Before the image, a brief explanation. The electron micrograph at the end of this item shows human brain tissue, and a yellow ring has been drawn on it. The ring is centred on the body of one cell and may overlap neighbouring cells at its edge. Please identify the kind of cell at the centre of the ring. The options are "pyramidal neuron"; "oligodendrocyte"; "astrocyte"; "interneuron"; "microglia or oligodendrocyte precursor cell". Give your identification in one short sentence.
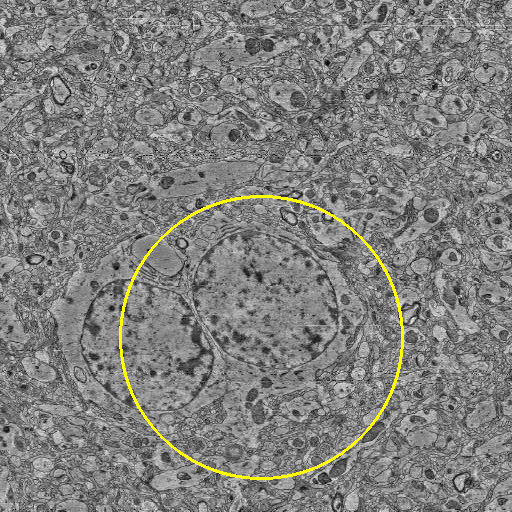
The ring has been placed around an astrocyte.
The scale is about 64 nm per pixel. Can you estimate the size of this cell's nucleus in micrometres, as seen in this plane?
Roughly 10 by 8 micrometres is the size of the nucleus in this plane.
